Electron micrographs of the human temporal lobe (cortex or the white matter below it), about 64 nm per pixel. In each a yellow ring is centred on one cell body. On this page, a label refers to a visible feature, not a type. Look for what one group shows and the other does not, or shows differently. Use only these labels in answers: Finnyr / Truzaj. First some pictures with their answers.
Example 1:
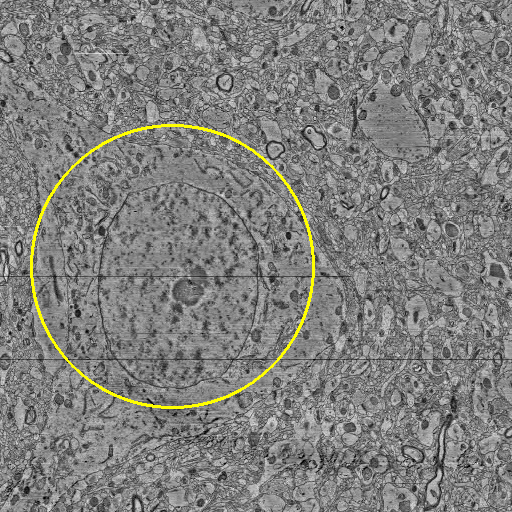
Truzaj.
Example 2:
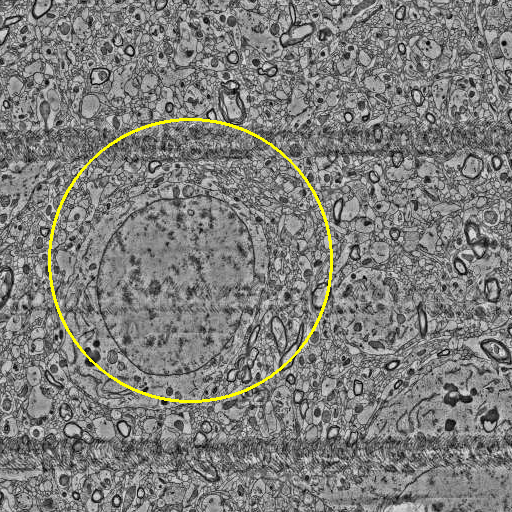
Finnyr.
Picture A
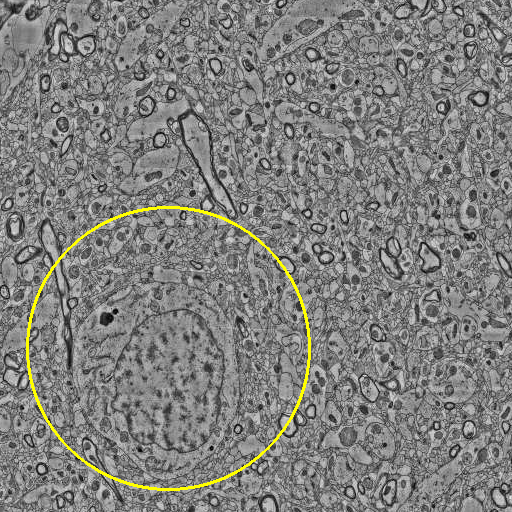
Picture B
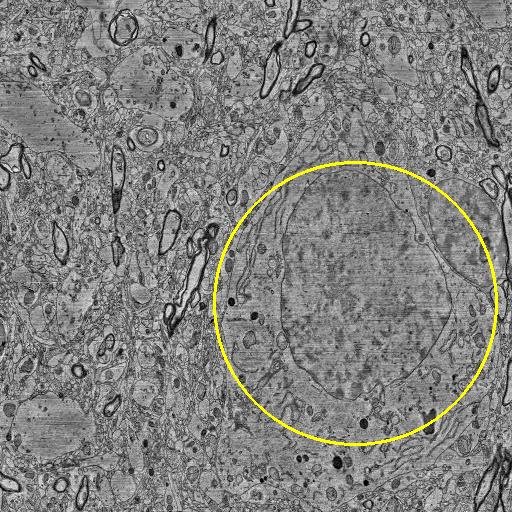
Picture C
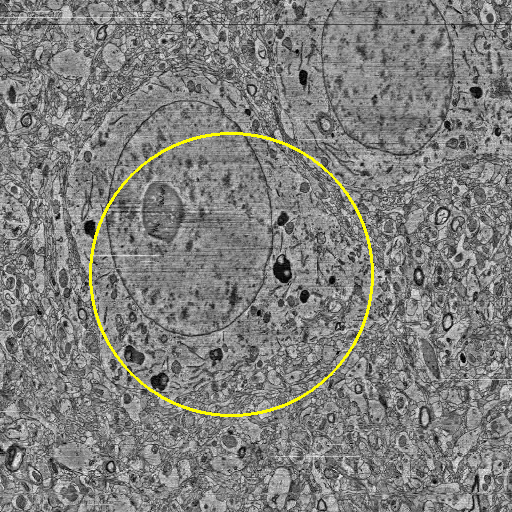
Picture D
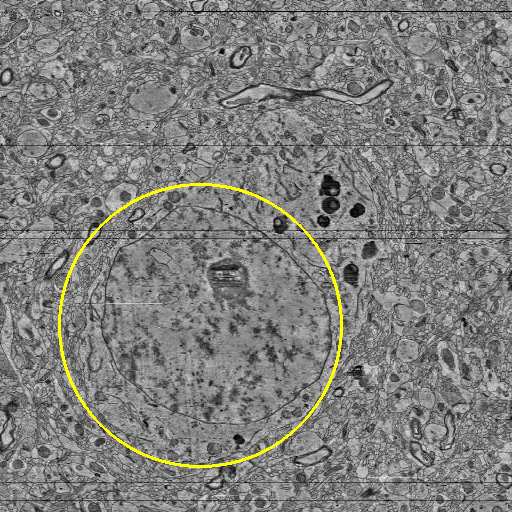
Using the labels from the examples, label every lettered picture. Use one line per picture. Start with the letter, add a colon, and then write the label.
A: Finnyr.
B: Finnyr.
C: Truzaj.
D: Truzaj.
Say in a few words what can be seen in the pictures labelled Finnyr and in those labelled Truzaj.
Finnyr, no nucleolus seen; Truzaj, nucleolus seen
